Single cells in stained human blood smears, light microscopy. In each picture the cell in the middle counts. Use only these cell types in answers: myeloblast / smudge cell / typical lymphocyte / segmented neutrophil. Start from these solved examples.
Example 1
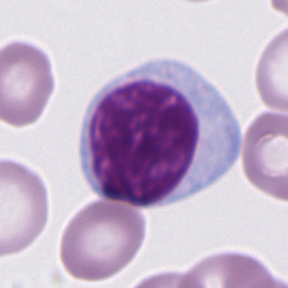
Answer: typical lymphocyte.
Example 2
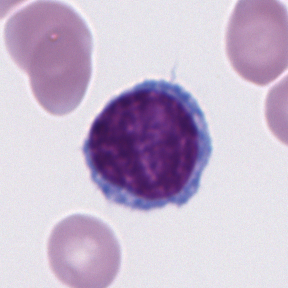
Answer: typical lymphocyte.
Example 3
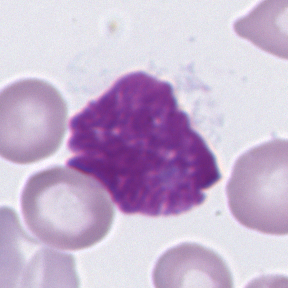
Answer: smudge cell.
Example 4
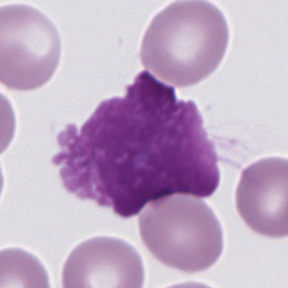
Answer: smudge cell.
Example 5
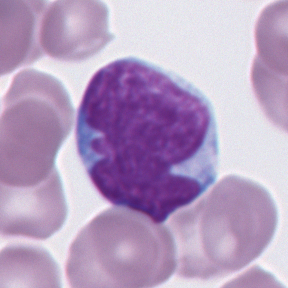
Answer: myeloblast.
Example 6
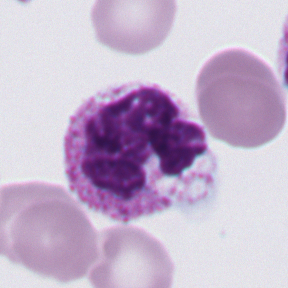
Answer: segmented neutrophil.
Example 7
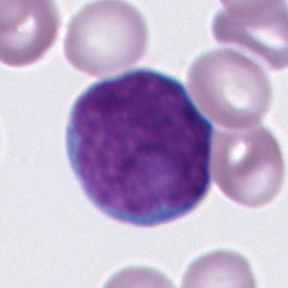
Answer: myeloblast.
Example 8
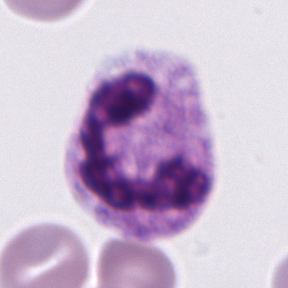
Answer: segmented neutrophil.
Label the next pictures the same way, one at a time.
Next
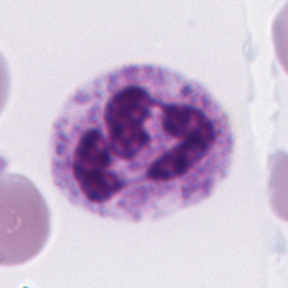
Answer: segmented neutrophil.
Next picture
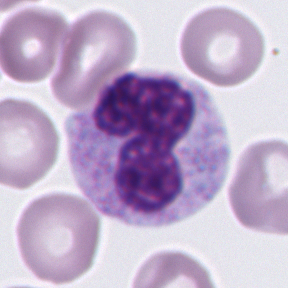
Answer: segmented neutrophil.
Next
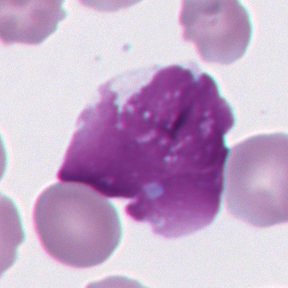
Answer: smudge cell.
